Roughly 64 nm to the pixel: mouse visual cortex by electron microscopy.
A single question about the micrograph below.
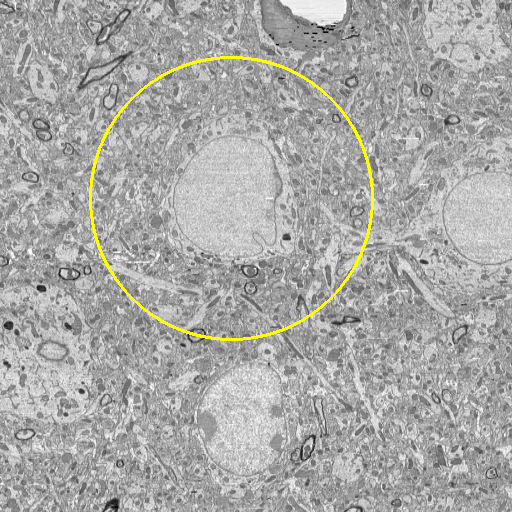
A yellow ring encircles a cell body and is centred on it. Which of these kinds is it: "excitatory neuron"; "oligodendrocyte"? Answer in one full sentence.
The cell body at the centre of the yellow ring belongs to an excitatory neuron.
